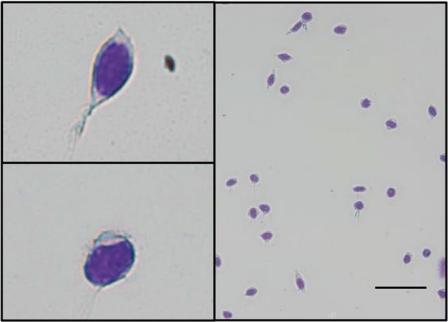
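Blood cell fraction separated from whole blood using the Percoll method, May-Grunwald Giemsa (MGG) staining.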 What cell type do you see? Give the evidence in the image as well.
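Small cells with a single nucleus filling most of the cell. Only a thin rim of cytoplasm. One enlarged cell is spindle-shaped with a tapering tail. The answer: lymphocyte and thrombocyte.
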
